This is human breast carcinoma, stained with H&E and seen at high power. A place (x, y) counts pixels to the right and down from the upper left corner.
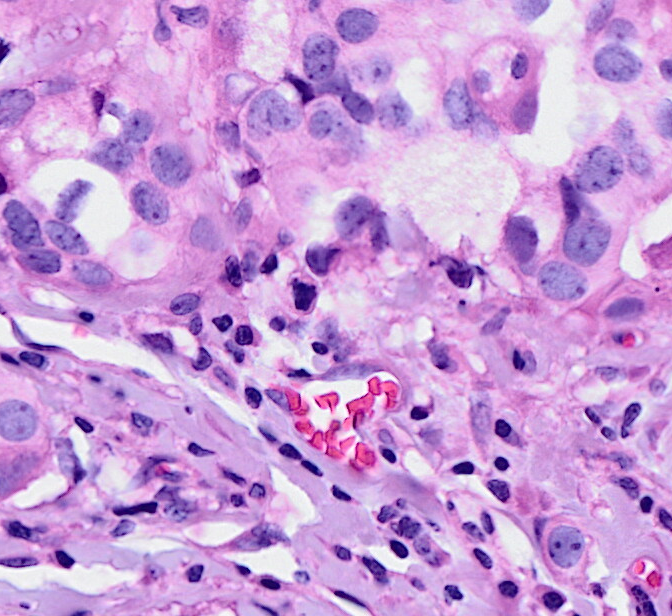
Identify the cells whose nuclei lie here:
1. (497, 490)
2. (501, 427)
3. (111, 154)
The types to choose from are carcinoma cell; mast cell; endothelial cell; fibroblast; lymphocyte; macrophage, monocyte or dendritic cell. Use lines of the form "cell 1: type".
cell 1: lymphocyte
cell 2: lymphocyte
cell 3: carcinoma cell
